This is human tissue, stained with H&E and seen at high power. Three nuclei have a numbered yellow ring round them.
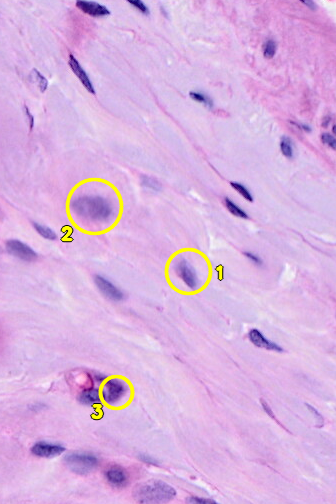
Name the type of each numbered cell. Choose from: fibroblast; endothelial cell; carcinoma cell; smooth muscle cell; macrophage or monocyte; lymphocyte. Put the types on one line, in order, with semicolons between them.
fibroblast; fibroblast; endothelial cell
